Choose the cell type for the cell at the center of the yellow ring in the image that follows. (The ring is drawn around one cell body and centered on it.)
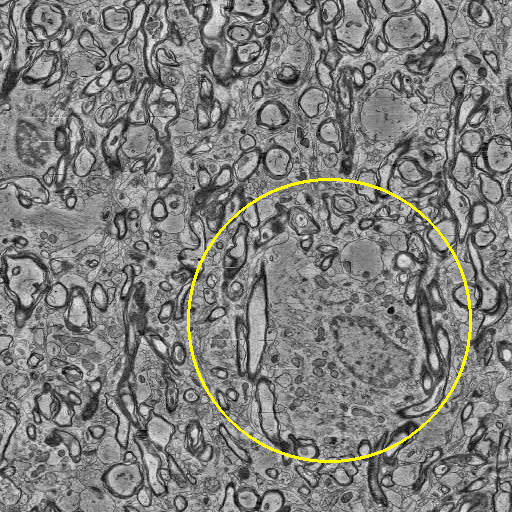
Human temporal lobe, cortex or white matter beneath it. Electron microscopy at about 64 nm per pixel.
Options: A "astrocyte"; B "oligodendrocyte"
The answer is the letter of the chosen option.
A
